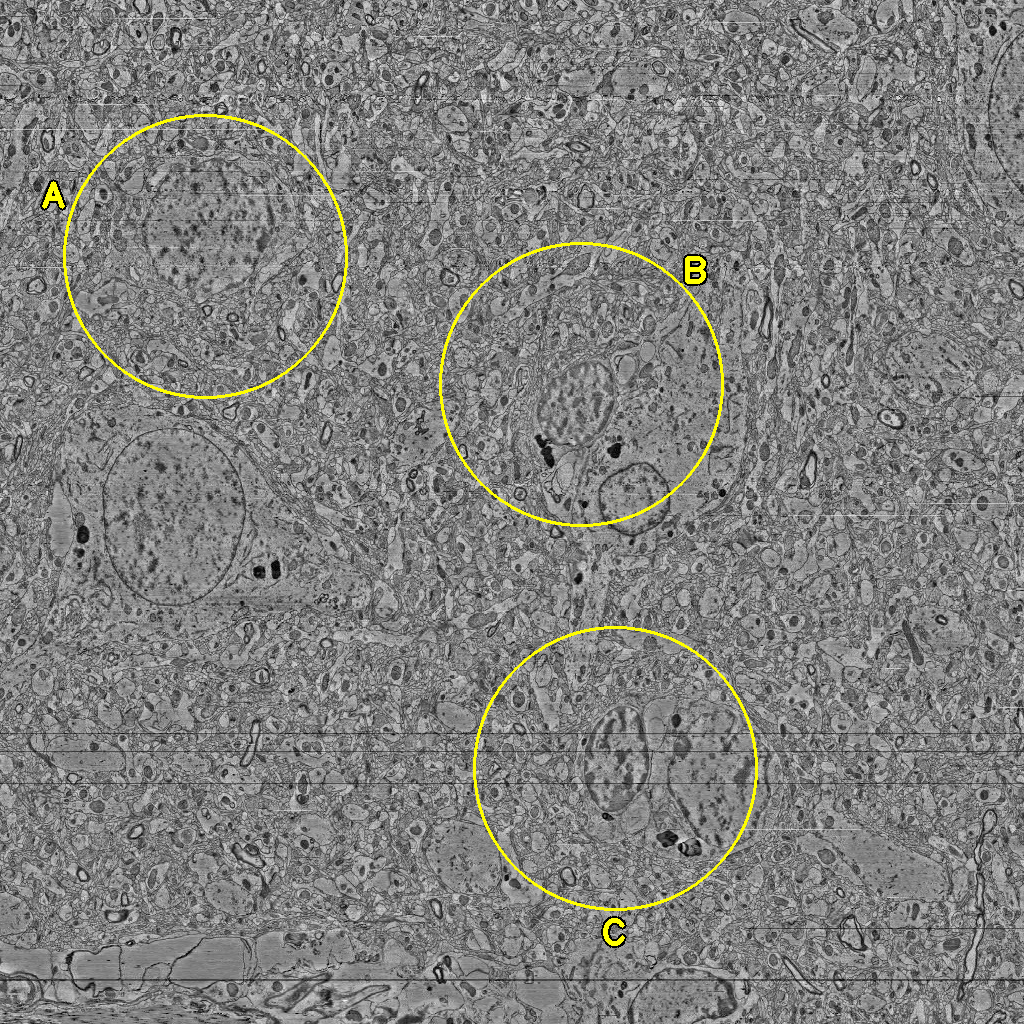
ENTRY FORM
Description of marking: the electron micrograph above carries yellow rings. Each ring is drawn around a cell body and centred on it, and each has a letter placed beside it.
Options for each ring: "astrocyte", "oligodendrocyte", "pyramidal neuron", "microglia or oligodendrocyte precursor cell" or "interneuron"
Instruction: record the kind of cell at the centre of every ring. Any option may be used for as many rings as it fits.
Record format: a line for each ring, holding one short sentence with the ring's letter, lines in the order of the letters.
Ring A surrounds the cell body of an interneuron.
Ring B surrounds the cell body of an oligodendrocyte.
Ring C surrounds the cell body of a microglial cell or oligodendrocyte precursor cell.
